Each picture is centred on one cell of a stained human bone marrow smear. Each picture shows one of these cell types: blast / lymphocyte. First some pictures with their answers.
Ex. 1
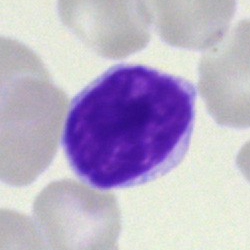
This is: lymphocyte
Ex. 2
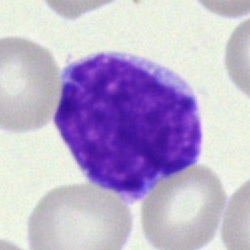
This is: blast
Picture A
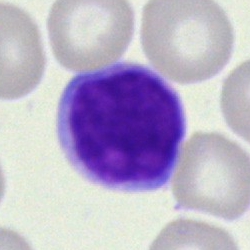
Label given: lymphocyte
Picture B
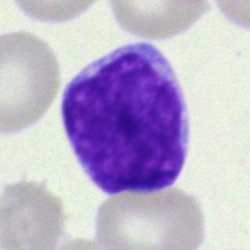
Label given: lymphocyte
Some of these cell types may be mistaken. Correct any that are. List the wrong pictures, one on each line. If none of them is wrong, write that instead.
B: change lymphocyte to blast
